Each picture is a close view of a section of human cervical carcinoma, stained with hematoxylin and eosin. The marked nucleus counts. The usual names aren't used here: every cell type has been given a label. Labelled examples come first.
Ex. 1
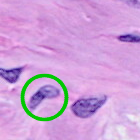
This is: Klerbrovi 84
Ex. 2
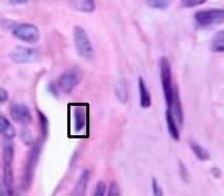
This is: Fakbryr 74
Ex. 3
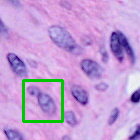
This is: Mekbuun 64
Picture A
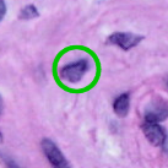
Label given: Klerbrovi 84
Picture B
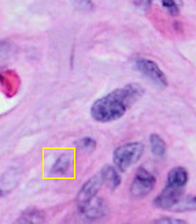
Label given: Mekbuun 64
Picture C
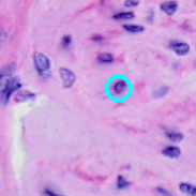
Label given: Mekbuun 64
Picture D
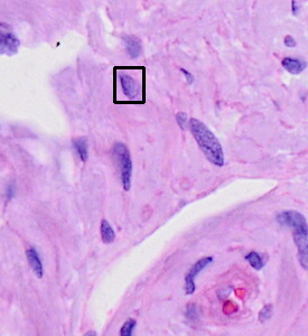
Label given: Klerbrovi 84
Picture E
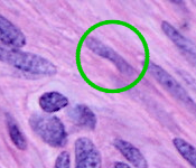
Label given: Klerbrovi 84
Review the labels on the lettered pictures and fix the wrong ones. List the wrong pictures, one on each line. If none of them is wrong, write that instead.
Wrong: E (Klerbrovi 84); correct: Mekbuun 64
